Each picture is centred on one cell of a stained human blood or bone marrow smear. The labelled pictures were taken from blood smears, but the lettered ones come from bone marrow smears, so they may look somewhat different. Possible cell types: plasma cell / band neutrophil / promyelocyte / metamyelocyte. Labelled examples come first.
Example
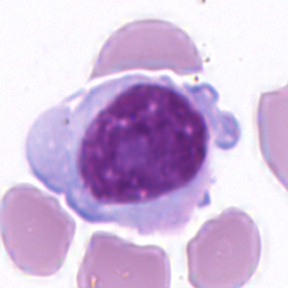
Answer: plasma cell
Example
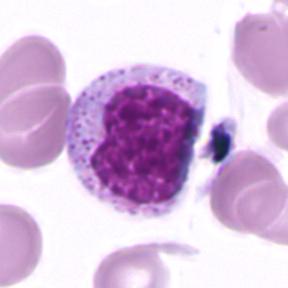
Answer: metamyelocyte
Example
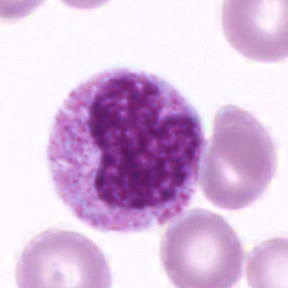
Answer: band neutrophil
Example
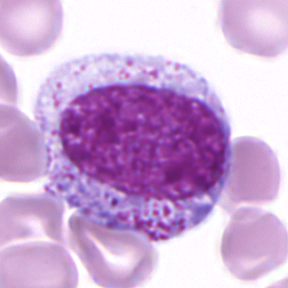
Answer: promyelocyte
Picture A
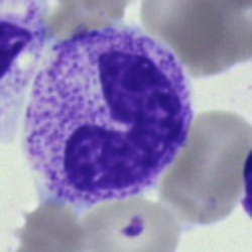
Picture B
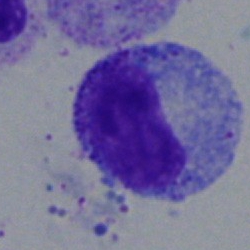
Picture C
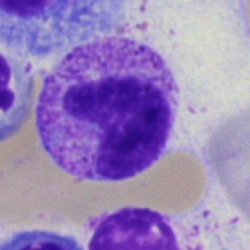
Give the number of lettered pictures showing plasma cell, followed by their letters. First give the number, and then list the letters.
0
